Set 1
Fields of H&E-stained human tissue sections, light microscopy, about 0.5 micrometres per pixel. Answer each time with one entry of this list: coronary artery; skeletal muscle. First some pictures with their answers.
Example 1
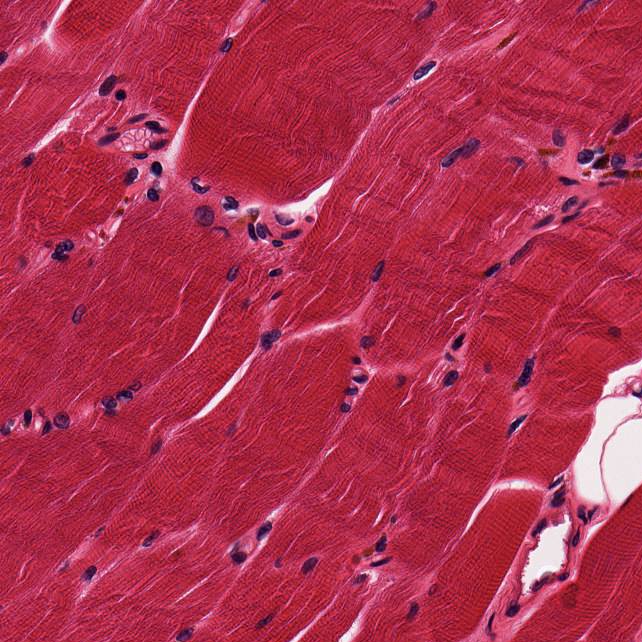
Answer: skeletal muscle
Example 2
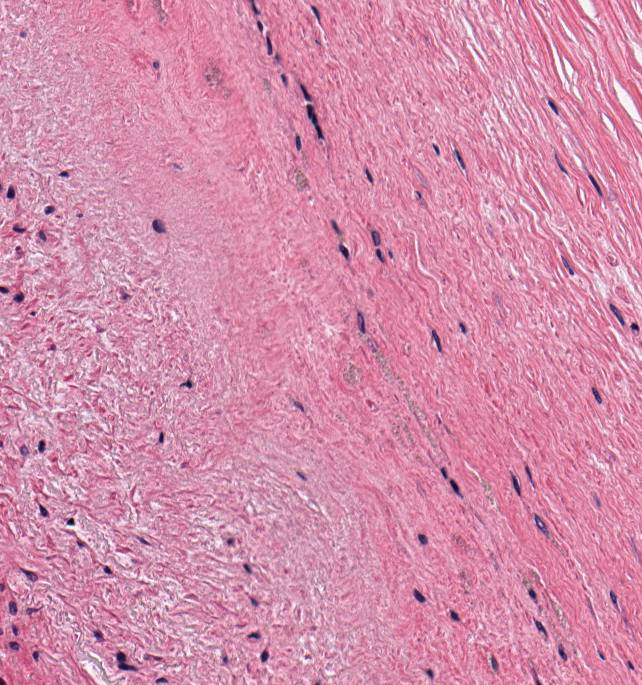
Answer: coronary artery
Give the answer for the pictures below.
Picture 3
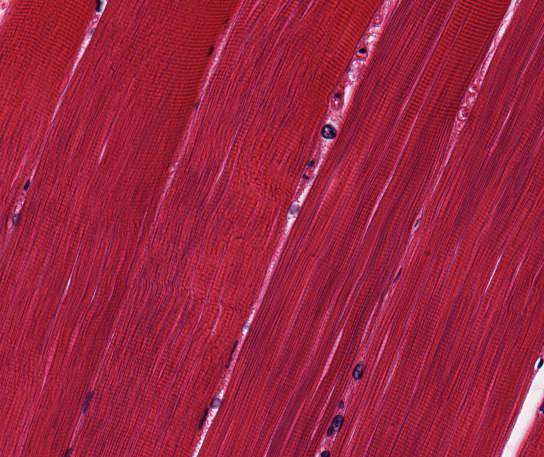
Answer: skeletal muscle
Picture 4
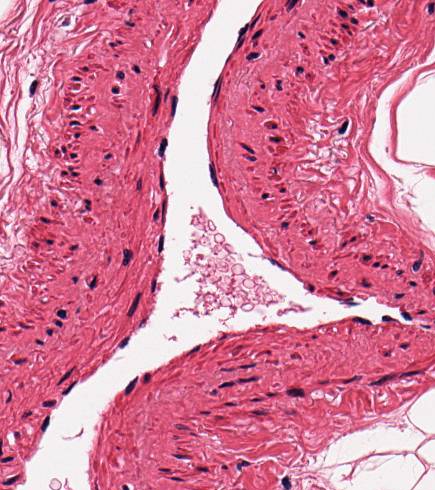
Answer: skeletal muscle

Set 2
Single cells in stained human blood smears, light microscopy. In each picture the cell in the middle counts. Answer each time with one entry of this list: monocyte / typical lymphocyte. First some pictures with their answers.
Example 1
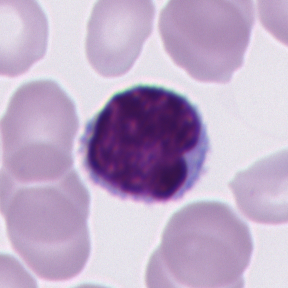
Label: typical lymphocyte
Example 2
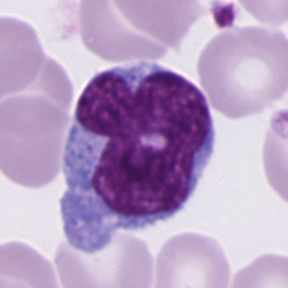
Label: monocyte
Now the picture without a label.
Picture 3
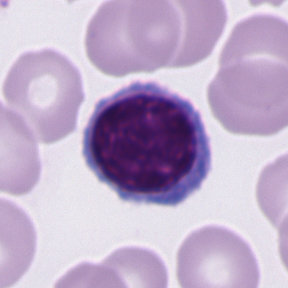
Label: typical lymphocyte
